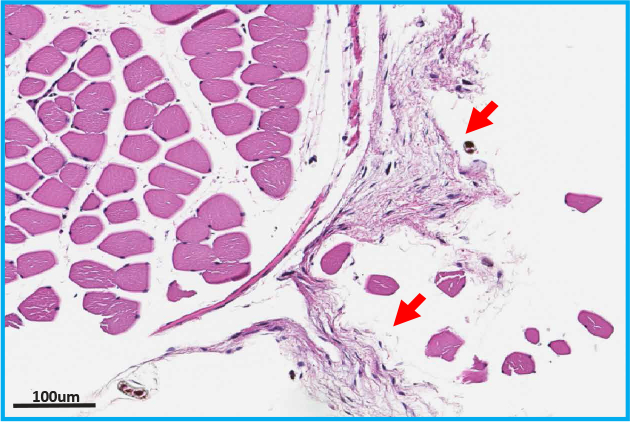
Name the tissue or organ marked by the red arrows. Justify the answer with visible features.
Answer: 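Fibrous connective tissue. Pale pink wavy strands form a loose mesh between the muscle fibres. The strands contain scattered dark elongated nuclei.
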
